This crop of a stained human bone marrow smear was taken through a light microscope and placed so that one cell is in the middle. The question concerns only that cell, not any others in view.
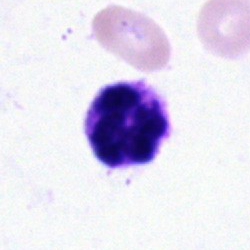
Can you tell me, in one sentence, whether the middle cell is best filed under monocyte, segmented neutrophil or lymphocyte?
In the centre of this crop there is a segmented neutrophil.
